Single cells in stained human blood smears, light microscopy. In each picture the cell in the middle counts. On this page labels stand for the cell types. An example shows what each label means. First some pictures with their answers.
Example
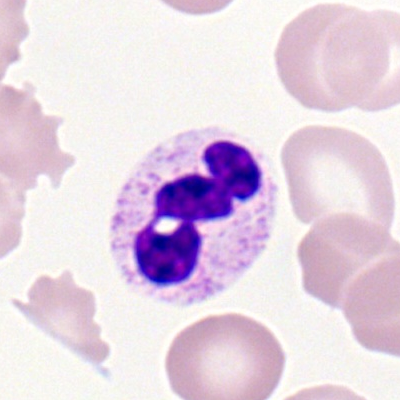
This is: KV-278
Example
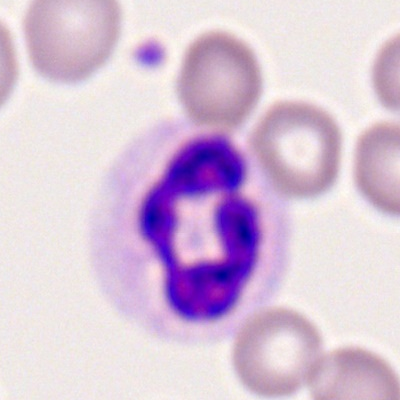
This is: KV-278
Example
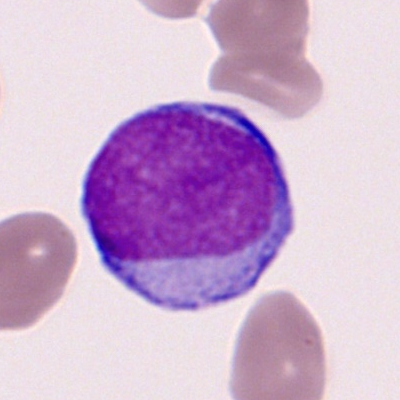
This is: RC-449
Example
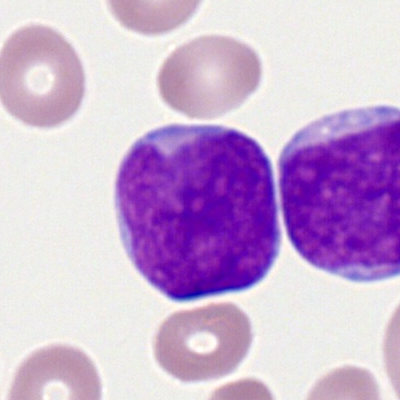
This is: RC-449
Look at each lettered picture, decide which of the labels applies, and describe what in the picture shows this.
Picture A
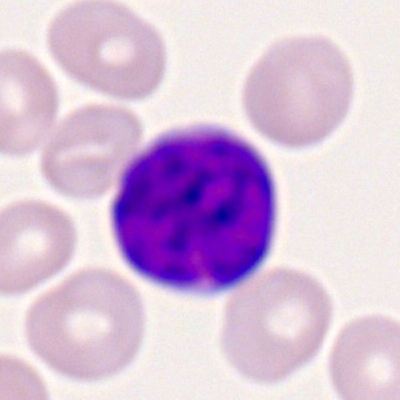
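RC-449. Evidence: Cytoplasm is scant, at most a very thin rim around the nucleus.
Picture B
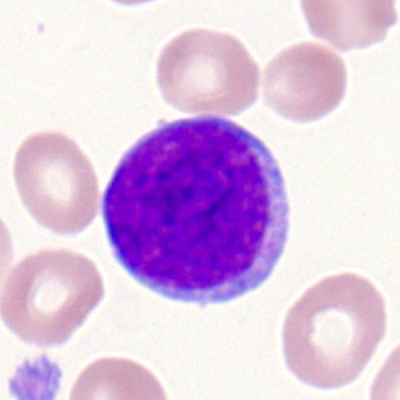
RC-449. Evidence: The cytoplasm forms only a thin rim around the nucleus.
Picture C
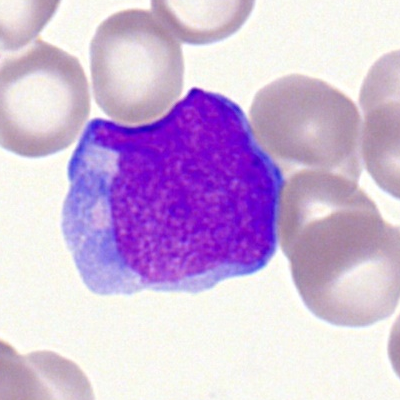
RC-449. Evidence: The nucleus fills most of the cell.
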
